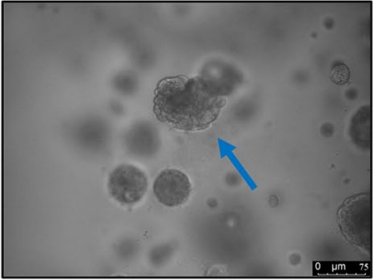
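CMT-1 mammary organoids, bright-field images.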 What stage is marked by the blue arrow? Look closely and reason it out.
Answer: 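Solid. The marked organoid is a dense, compact mass. It has no clear hollow lumen inside.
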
